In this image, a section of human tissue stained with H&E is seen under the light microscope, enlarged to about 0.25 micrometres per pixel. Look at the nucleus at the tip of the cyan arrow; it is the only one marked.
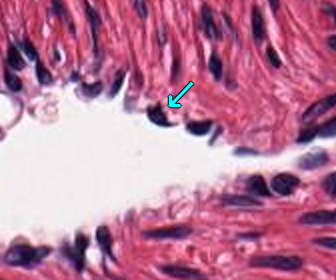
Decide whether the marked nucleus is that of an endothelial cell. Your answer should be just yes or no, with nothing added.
yes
